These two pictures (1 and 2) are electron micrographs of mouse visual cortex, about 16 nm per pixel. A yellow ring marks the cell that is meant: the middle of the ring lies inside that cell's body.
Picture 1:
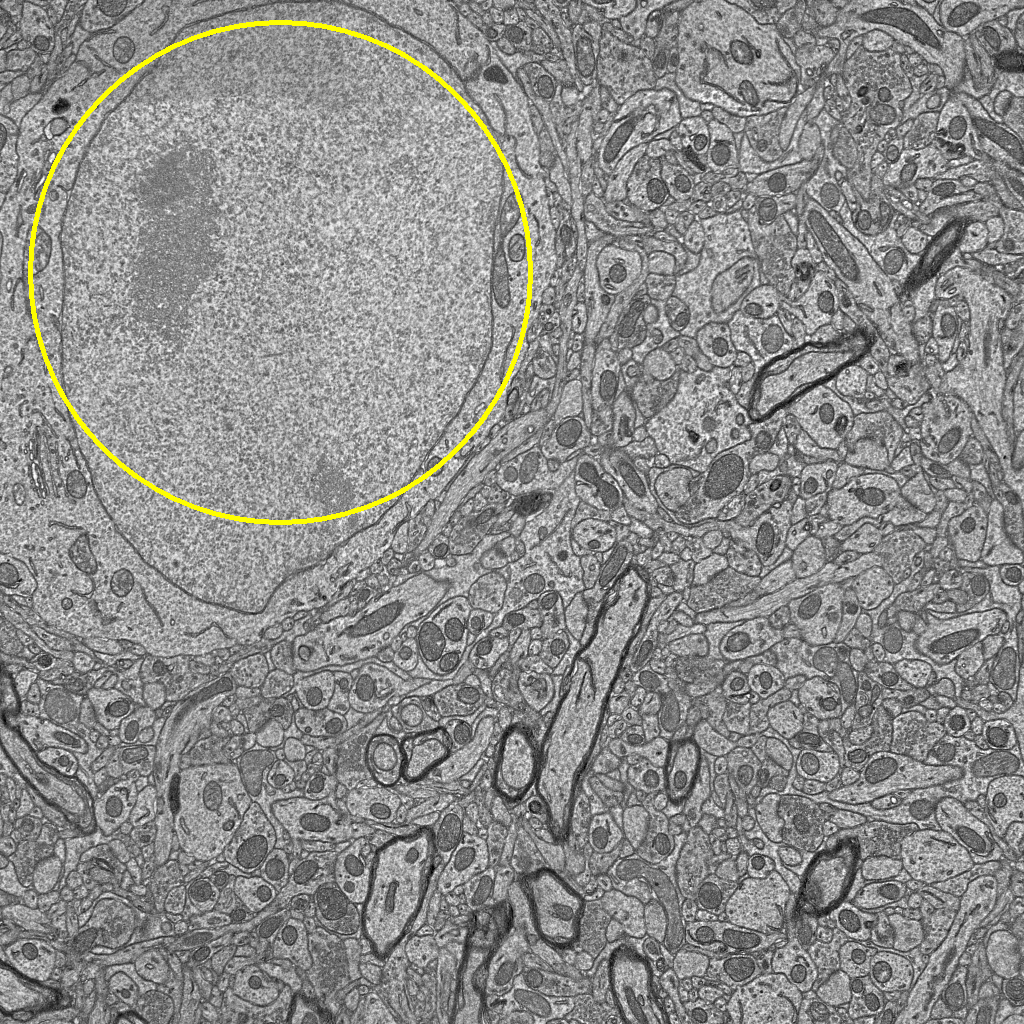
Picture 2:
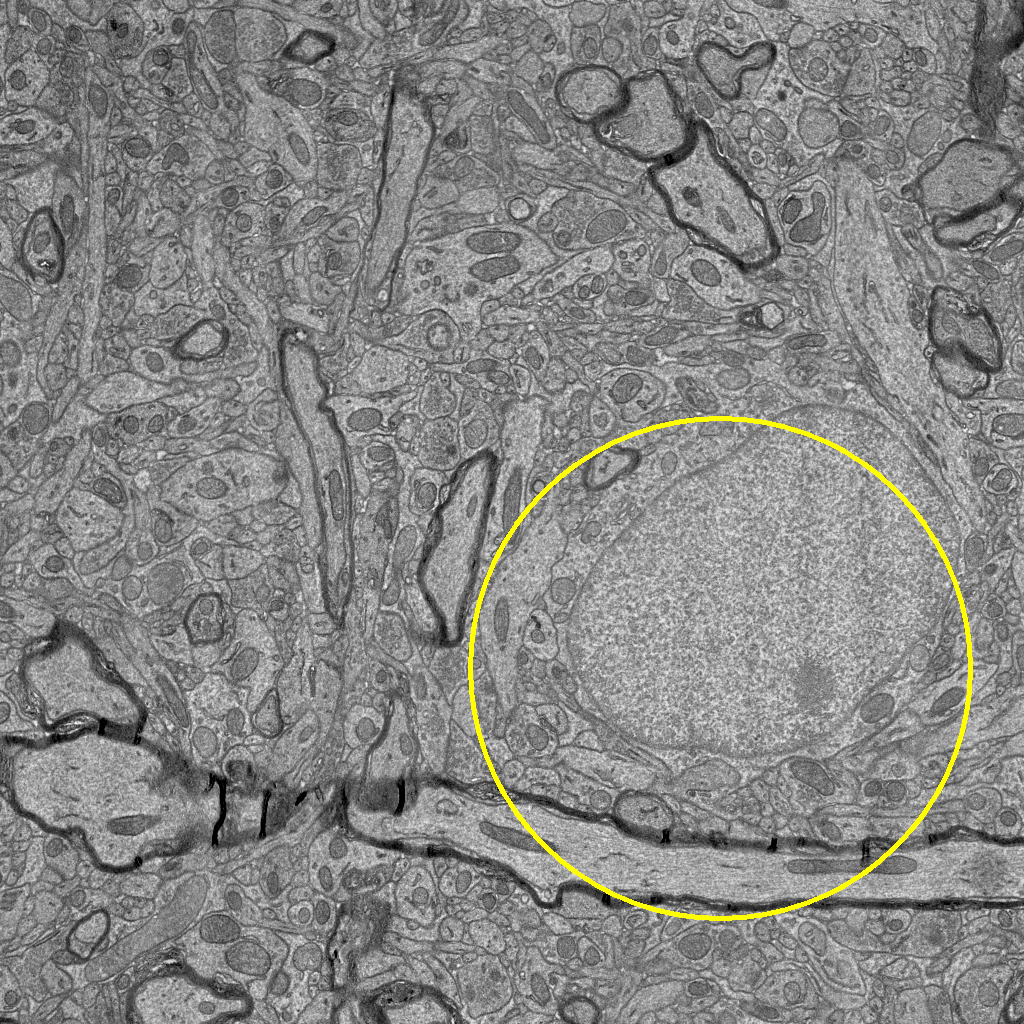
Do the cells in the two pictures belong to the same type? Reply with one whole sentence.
No, picture 1 shows an excitatory neuron and picture 2 shows an astrocyte.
